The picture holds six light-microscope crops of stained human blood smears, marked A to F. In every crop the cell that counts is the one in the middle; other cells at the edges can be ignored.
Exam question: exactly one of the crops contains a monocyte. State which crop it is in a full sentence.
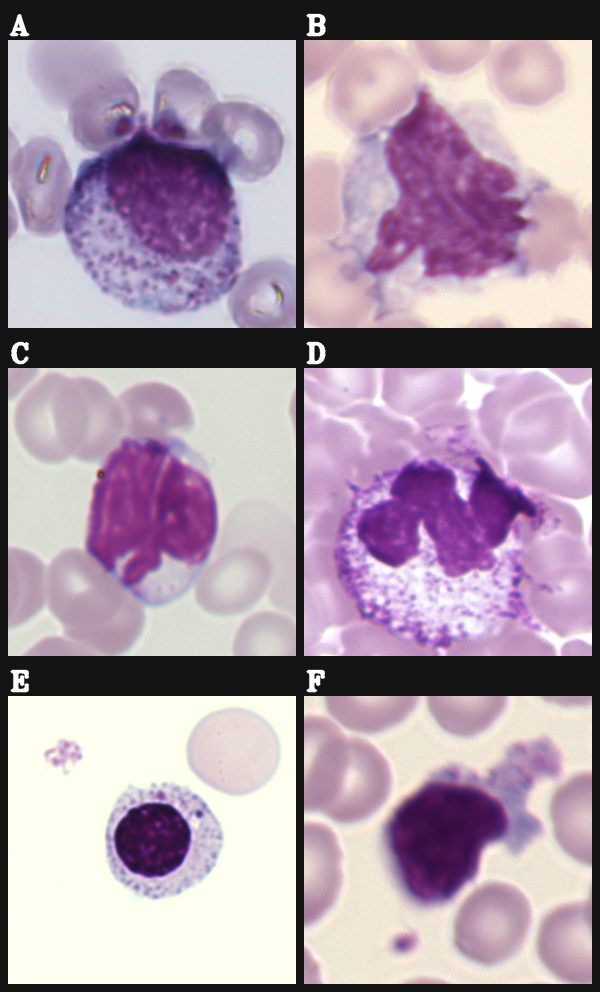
Of the labelled crops, the one that shows a monocyte is crop B.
